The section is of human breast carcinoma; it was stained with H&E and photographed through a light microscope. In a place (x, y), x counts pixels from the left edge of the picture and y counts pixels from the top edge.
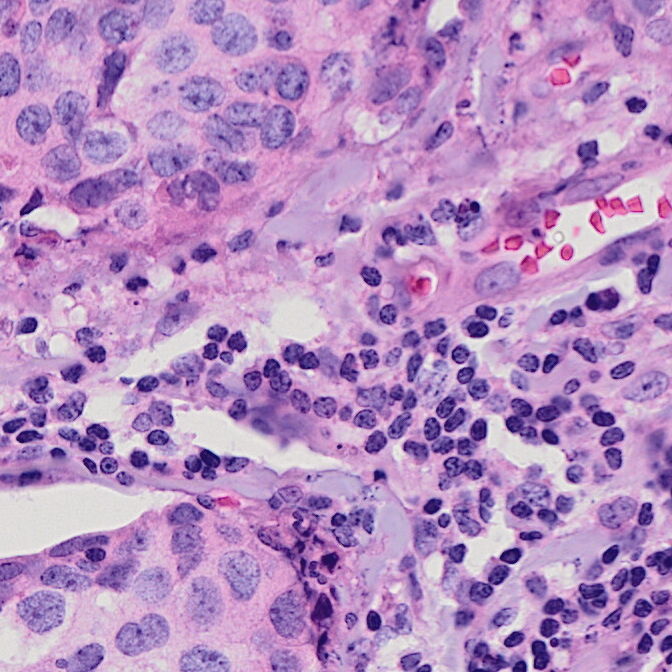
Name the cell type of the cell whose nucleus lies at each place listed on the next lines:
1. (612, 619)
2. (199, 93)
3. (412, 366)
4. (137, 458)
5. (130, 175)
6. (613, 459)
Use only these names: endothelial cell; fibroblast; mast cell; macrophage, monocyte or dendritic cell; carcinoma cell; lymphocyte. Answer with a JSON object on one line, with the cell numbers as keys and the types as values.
{"1": "lymphocyte", "2": "carcinoma cell", "3": "lymphocyte", "4": "lymphocyte", "5": "carcinoma cell", "6": "lymphocyte"}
